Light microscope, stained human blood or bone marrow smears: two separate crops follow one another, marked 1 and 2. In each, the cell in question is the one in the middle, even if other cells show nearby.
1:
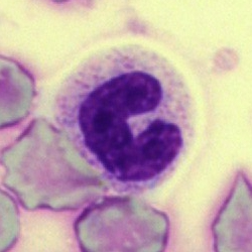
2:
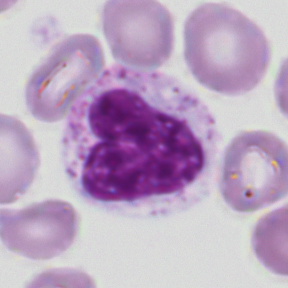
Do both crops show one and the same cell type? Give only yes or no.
yes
